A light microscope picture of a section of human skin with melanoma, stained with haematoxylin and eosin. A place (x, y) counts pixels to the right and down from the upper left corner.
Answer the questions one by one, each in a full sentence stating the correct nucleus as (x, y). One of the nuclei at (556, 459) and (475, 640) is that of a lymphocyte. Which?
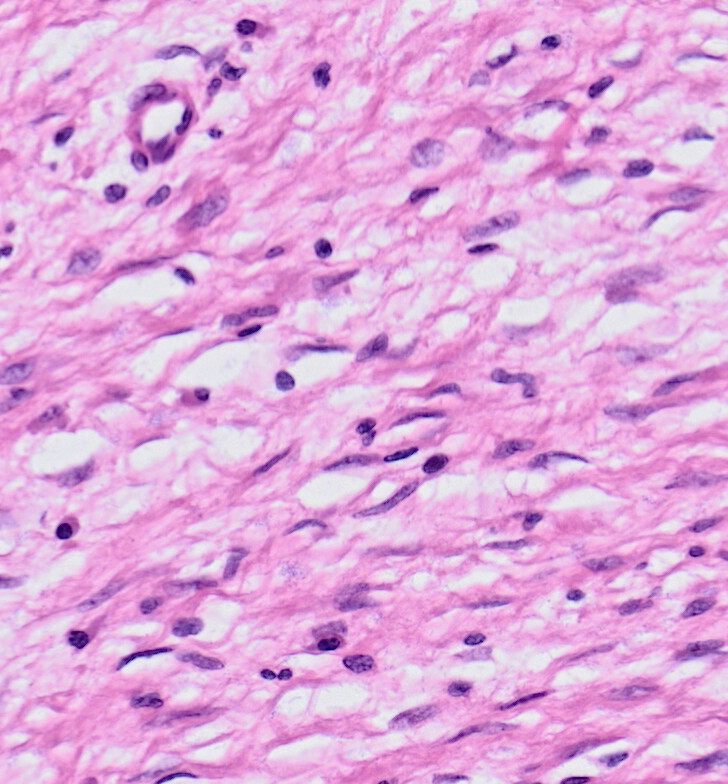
The nucleus at (475, 640) is housed in a lymphocyte.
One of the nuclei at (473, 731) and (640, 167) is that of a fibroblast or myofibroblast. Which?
Of the two candidate nuclei, the one at (473, 731) is that of a fibroblast or myofibroblast.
